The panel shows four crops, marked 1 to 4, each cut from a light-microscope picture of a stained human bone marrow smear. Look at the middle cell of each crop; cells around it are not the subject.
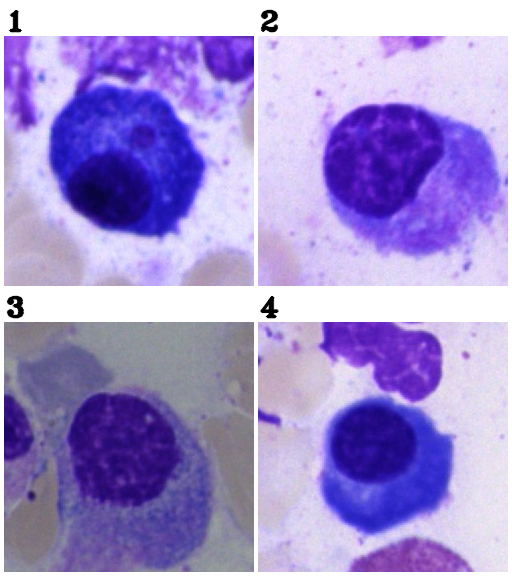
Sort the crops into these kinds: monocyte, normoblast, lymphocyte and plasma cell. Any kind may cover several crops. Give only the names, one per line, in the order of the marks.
plasma cell
plasma cell
plasma cell
plasma cell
